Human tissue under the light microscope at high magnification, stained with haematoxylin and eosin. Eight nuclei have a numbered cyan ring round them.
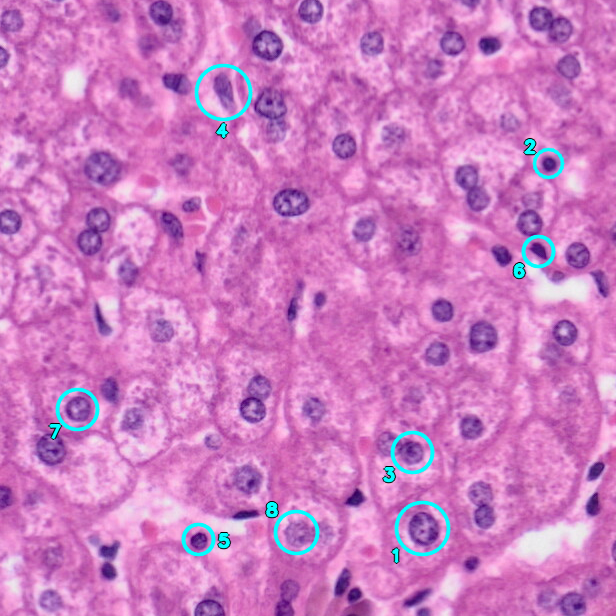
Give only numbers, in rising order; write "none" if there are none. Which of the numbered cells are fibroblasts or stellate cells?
6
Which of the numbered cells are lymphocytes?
2, 5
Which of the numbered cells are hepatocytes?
1, 3, 7, 8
